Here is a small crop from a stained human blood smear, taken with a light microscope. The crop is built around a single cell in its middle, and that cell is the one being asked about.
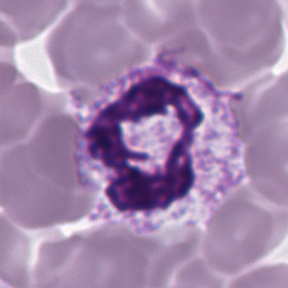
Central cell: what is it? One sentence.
In the center of this field lies a segmented neutrophil.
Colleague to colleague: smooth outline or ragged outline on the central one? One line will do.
The outline of this cell is not smooth but ragged or drawn out into projections.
